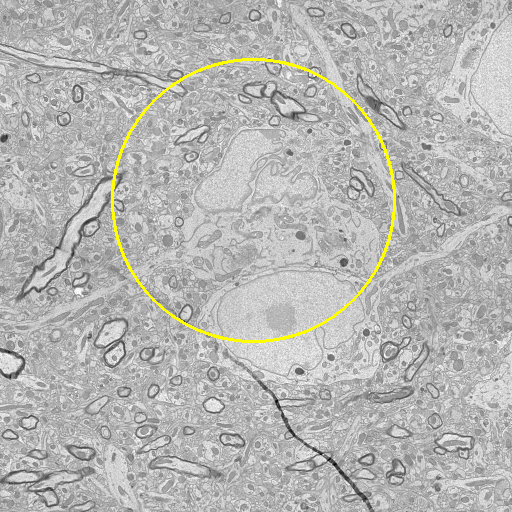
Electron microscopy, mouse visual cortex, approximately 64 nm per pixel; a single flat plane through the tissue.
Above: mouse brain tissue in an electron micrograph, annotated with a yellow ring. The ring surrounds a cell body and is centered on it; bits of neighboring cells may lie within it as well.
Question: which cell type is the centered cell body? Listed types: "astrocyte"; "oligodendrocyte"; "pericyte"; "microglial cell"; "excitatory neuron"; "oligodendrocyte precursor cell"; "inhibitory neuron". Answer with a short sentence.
The centered cell body is an oligodendrocyte precursor cell.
